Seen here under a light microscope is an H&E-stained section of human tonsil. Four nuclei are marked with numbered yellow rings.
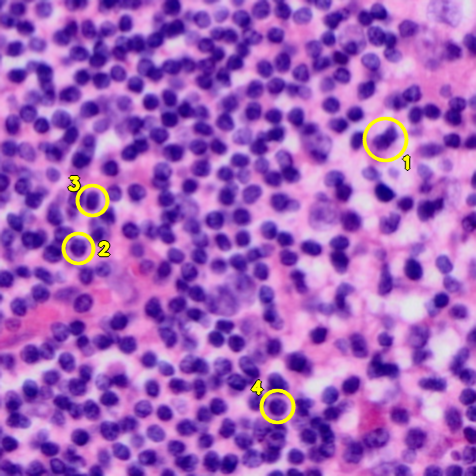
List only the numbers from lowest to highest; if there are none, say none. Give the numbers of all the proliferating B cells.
1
